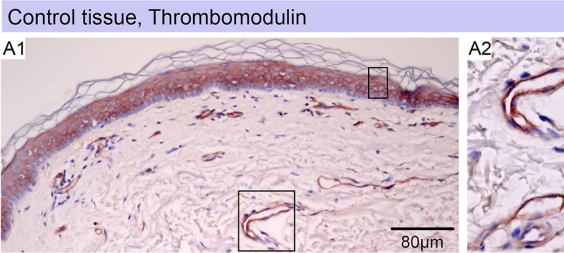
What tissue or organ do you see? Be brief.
Healthy skin.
